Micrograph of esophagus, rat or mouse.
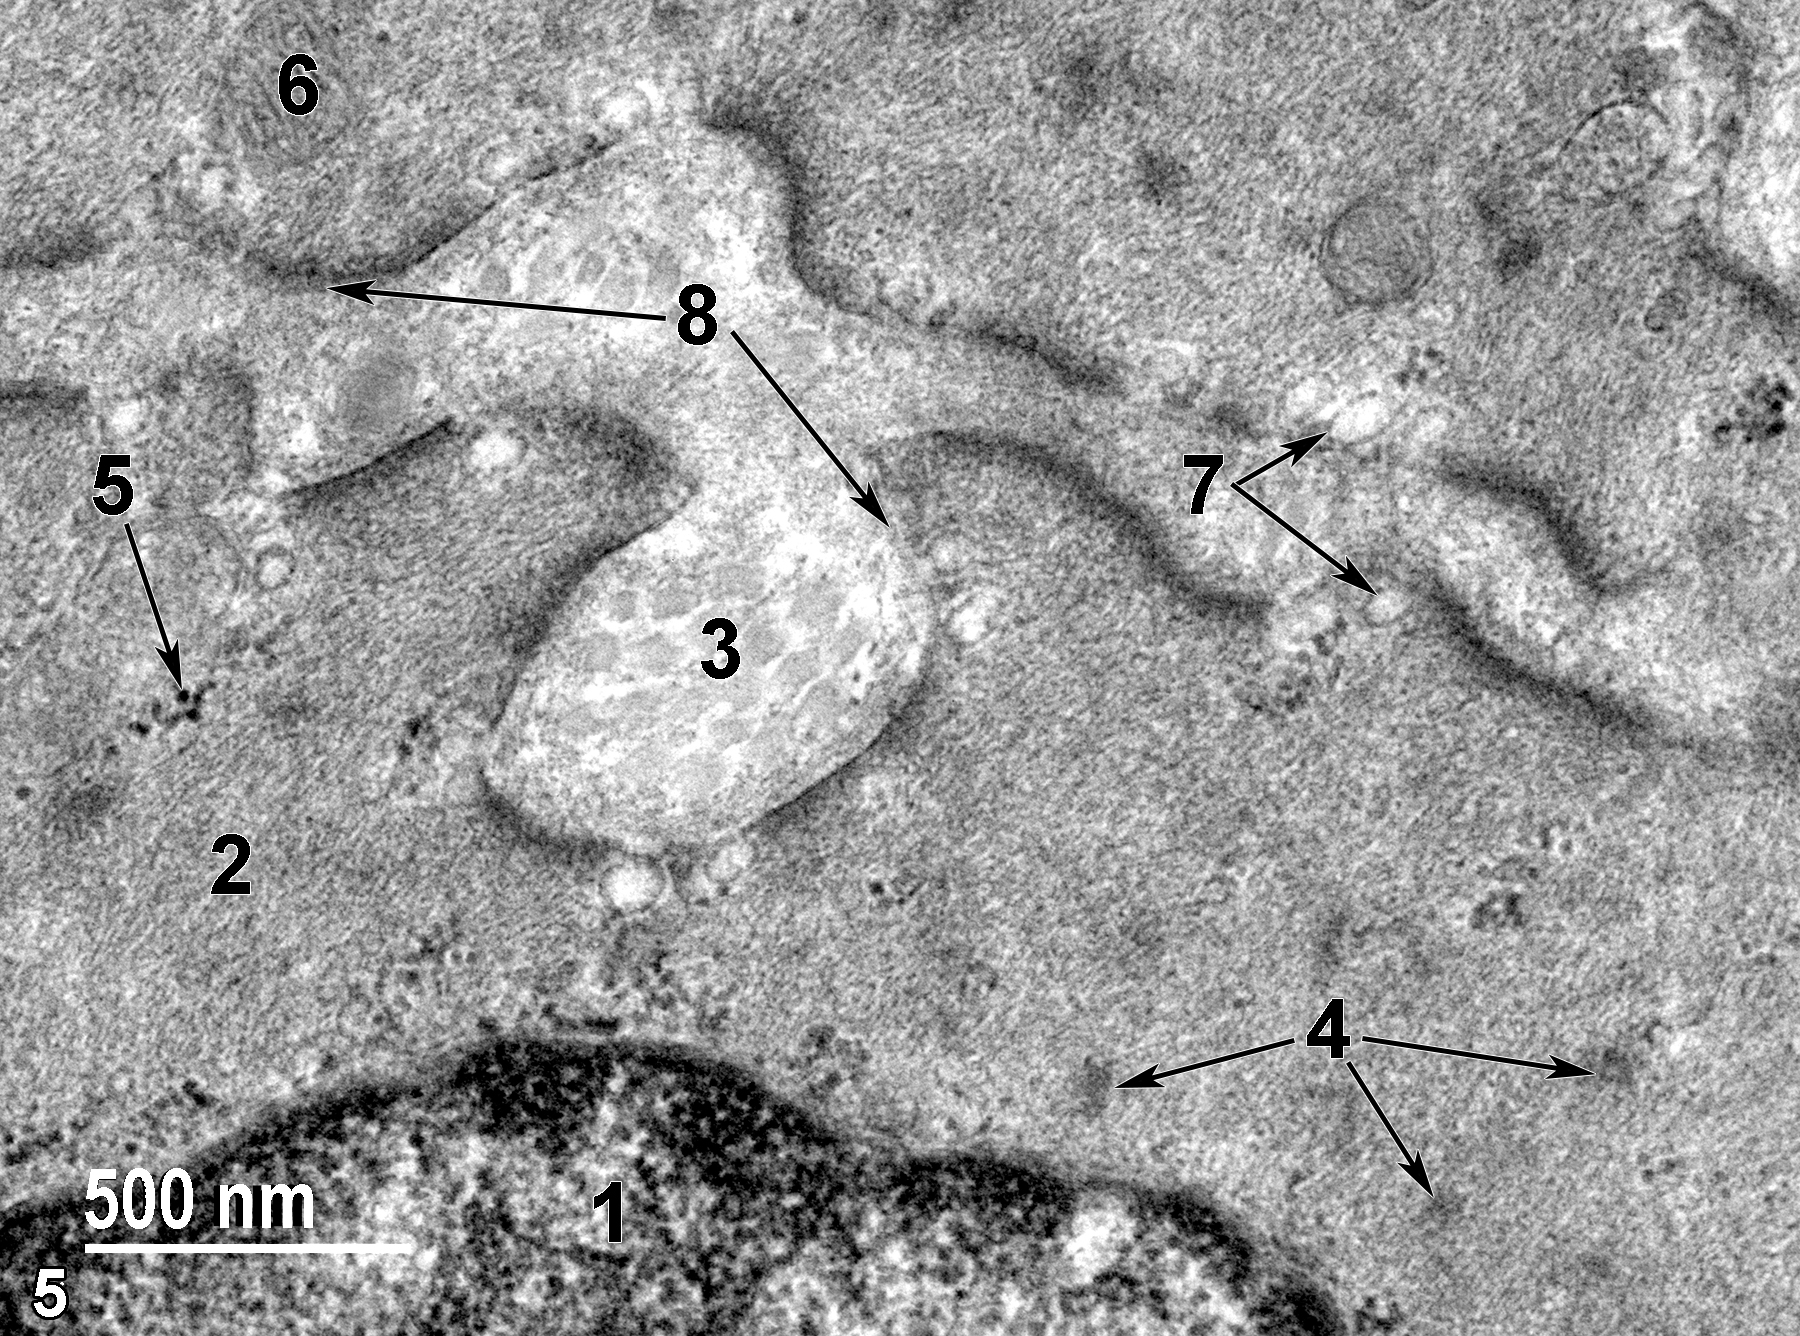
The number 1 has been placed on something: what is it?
At 1: nucleus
